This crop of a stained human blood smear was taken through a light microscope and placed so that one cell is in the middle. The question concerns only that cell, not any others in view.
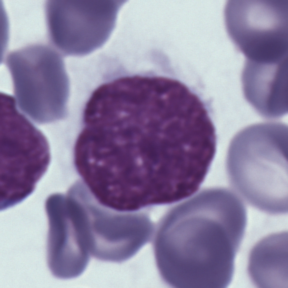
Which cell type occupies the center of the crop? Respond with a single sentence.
At the crop's centre, the cell is a myeloblast.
